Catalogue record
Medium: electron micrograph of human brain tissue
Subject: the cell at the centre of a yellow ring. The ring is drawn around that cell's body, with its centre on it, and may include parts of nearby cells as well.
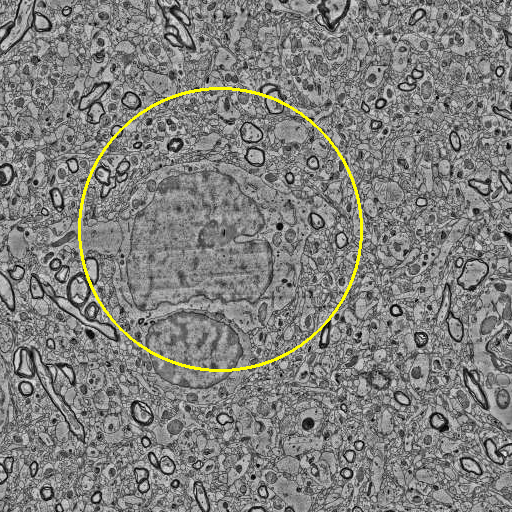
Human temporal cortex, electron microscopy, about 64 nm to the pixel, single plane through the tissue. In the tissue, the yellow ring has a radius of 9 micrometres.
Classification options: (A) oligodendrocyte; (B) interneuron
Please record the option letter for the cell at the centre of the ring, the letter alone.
B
